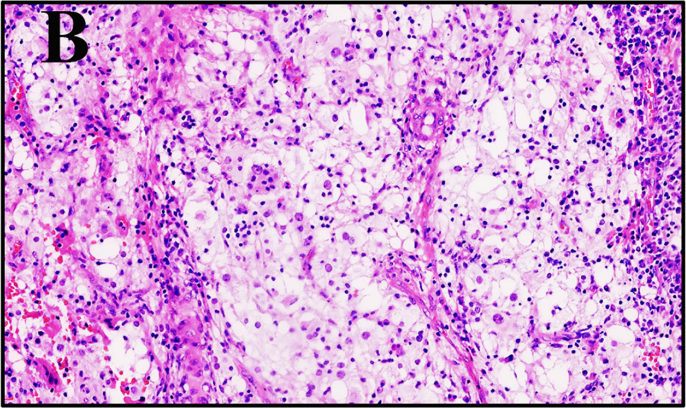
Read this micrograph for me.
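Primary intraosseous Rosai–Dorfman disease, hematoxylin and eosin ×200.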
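Large histiocytes with abundant clear to pale pink cytoplasm form loose clusters across most of the field. Their nuclei are round to oval and relatively small for the cell size, and the cytoplasm looks vacuolated or foamy. Thin pink fibrous septa carrying small vessels run between the clusters. A denser band of small cells with dark round nuclei, a mixed inflammatory infiltrate, lies at the right edge, and red blood cells are seen at the left.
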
